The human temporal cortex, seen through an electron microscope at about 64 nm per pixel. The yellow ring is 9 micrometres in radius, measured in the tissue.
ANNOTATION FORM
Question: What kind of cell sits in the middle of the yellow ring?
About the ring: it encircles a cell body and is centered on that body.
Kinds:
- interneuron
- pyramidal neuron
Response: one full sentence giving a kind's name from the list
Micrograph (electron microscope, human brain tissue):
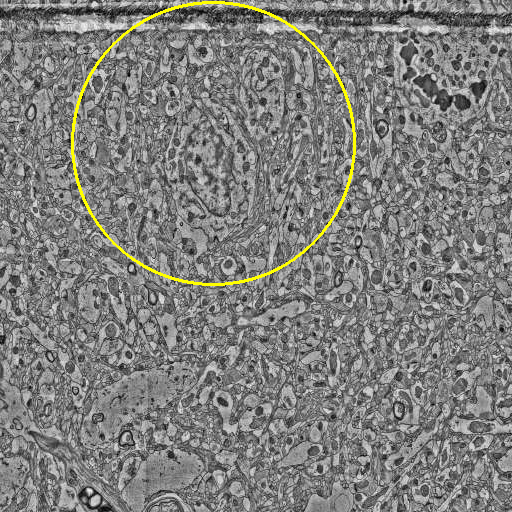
The kind of cell found at the center of the yellow ring in the micrograph is an interneuron.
